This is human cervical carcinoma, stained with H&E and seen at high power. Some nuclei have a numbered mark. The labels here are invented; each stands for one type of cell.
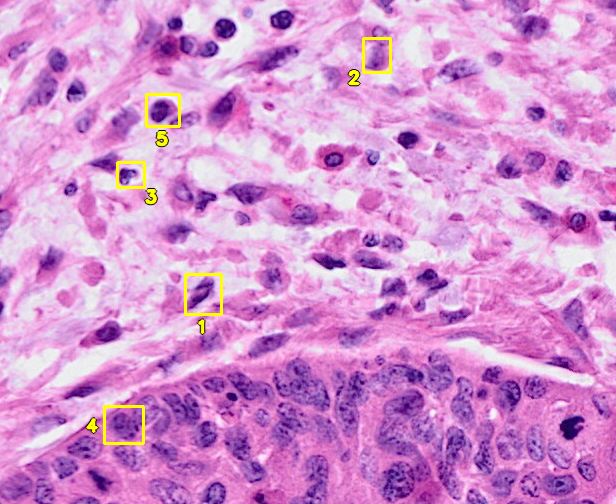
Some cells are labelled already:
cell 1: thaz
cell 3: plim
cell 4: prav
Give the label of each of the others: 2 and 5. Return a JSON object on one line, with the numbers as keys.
{"2": "thaz", "5": "plim"}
